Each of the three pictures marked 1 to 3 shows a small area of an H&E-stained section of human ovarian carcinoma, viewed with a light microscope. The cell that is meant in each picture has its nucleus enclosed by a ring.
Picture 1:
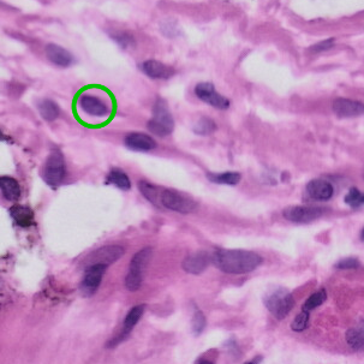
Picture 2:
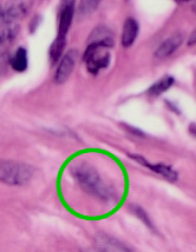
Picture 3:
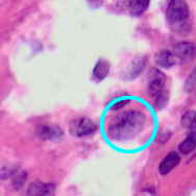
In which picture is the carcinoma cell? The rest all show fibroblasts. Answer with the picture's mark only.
3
